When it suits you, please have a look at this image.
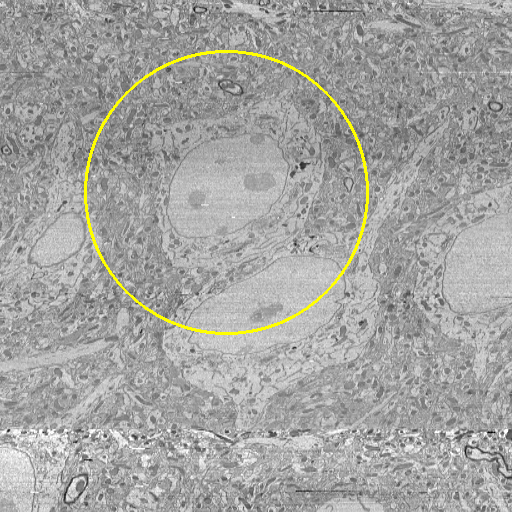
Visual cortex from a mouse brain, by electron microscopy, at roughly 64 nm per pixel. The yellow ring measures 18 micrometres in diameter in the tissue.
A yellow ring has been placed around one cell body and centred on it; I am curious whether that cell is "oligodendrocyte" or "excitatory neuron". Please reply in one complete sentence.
The ringed cell, an excitatory neuron, has its body at the centre of the yellow ring.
